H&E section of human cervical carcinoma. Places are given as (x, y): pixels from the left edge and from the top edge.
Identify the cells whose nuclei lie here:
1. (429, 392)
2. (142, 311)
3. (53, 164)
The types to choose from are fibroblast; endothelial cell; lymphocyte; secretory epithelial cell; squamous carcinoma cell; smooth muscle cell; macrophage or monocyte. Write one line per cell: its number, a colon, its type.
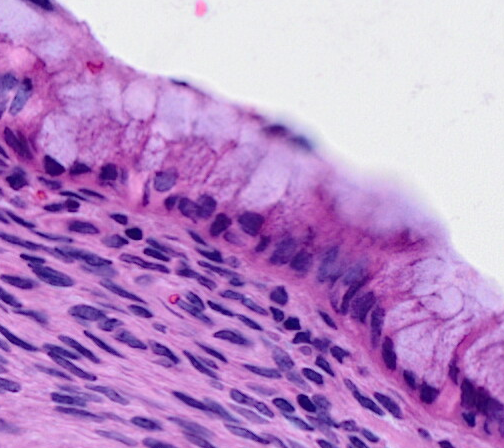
1: secretory epithelial cell
2: fibroblast
3: secretory epithelial cell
